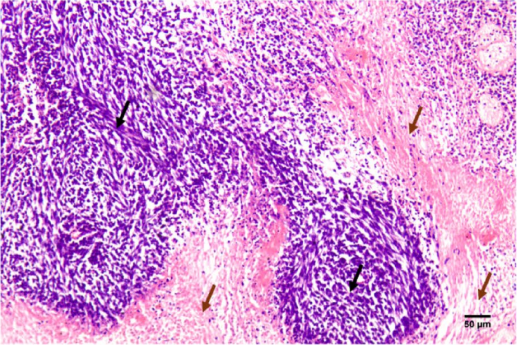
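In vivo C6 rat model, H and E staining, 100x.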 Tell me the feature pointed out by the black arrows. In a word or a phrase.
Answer: Tumor area.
